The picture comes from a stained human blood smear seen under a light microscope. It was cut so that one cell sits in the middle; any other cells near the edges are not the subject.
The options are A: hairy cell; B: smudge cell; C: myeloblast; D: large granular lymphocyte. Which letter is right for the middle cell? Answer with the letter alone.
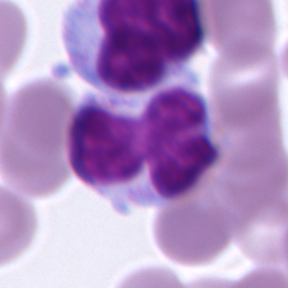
D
